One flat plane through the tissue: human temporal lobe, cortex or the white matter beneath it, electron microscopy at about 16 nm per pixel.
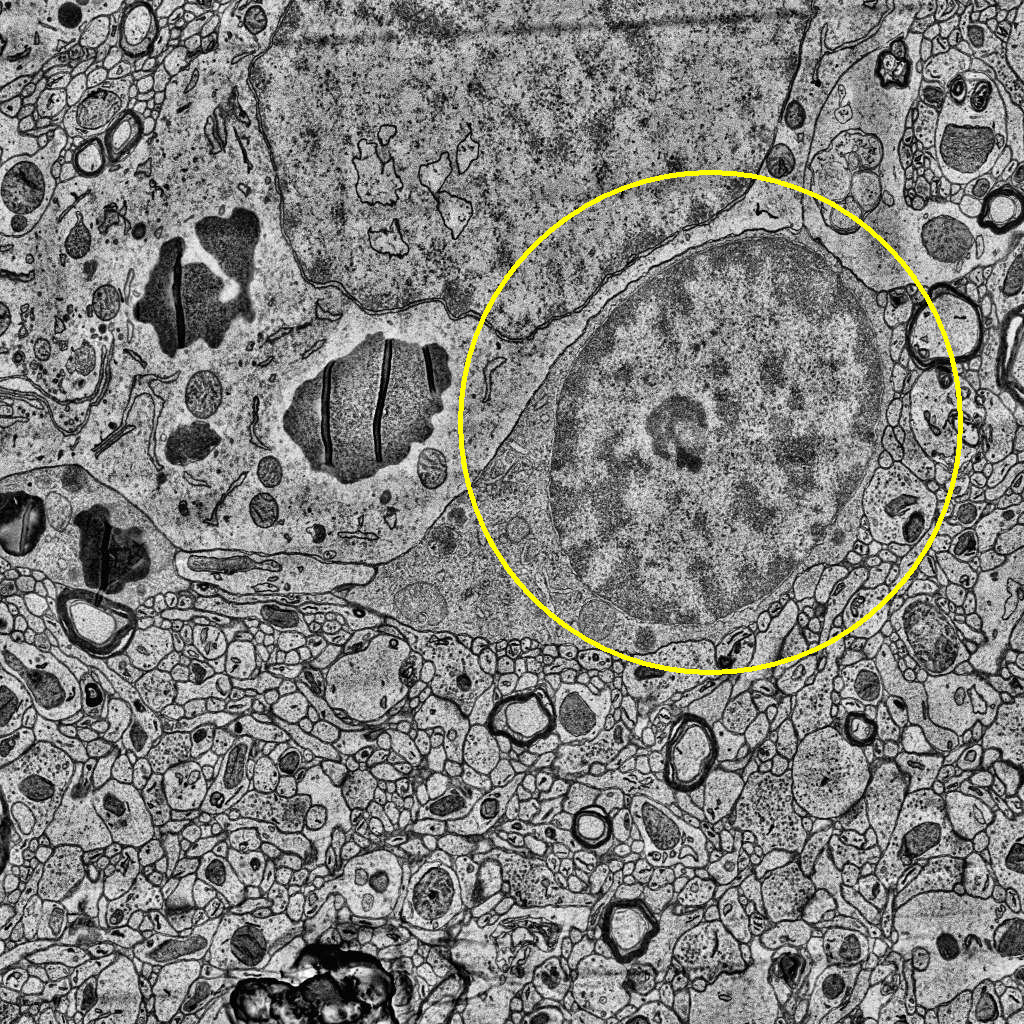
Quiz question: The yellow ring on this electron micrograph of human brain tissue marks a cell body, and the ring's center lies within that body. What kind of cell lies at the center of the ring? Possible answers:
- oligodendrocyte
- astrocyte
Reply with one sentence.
The ring's center lies on an oligodendrocyte.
